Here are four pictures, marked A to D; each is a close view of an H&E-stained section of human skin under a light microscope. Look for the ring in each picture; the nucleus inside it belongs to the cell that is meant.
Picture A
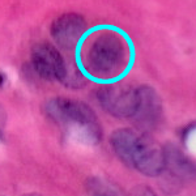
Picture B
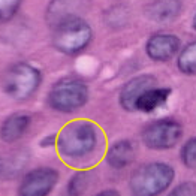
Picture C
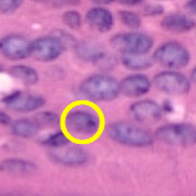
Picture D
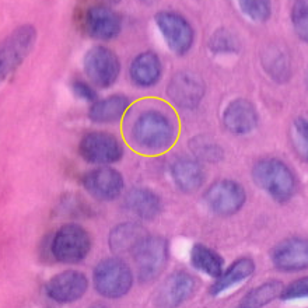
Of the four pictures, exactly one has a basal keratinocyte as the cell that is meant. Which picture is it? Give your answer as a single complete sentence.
The basal keratinocyte is the one in picture A.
